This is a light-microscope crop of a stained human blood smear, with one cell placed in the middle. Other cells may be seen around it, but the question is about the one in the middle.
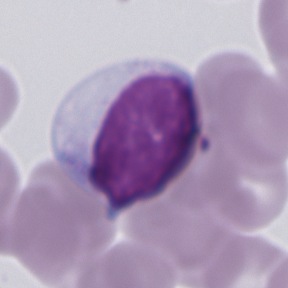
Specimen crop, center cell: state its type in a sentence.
As for the cell in the middle, it is a large granular lymphocyte.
